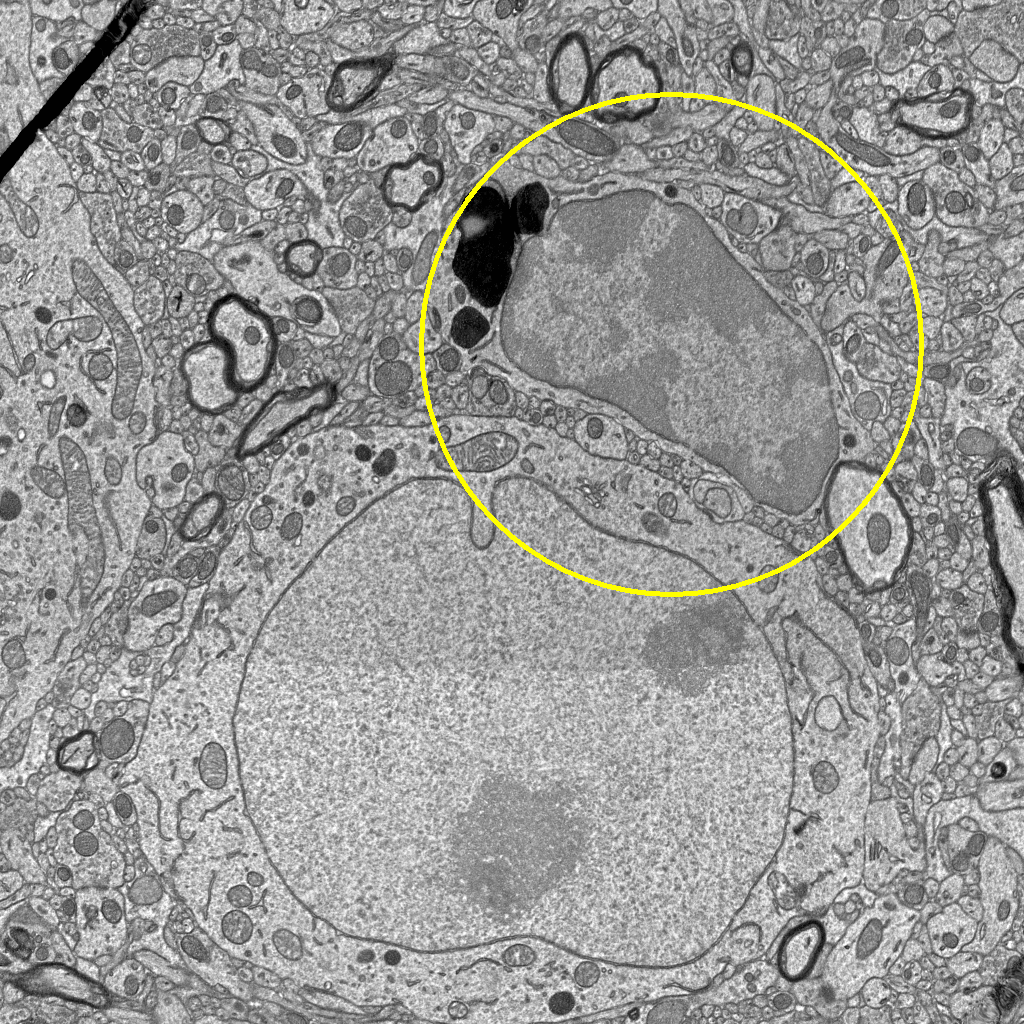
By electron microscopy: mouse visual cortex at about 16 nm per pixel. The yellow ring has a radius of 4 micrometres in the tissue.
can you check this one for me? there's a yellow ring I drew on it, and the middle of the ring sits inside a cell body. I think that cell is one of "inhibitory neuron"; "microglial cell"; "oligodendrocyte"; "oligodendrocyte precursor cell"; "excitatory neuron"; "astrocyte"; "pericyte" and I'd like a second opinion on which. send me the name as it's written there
microglial cell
